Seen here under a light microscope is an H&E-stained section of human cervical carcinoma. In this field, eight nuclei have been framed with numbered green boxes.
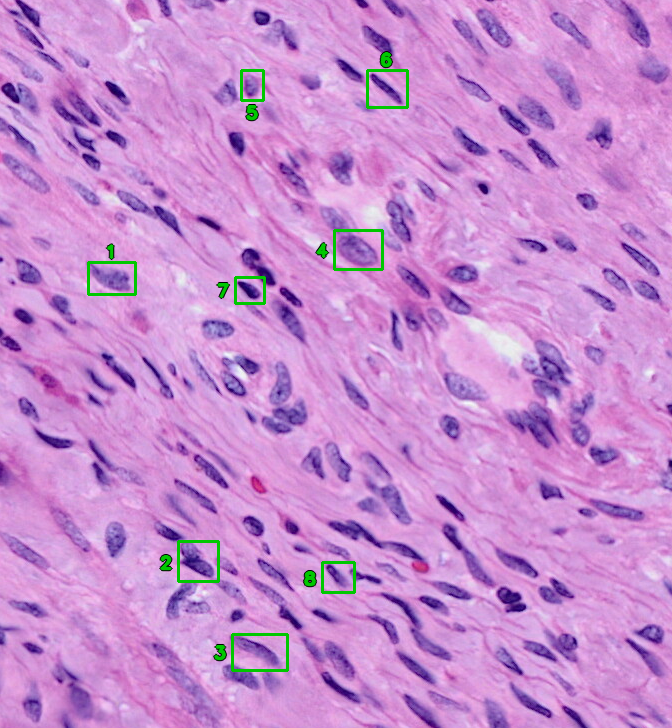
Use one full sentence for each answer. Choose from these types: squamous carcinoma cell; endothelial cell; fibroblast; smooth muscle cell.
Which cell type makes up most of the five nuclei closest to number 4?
Most of the five nuclei nearest to number 4 are those of endothelial cells.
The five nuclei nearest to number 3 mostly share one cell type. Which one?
Fibroblasts make up most of the five nuclei closest to number 3.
